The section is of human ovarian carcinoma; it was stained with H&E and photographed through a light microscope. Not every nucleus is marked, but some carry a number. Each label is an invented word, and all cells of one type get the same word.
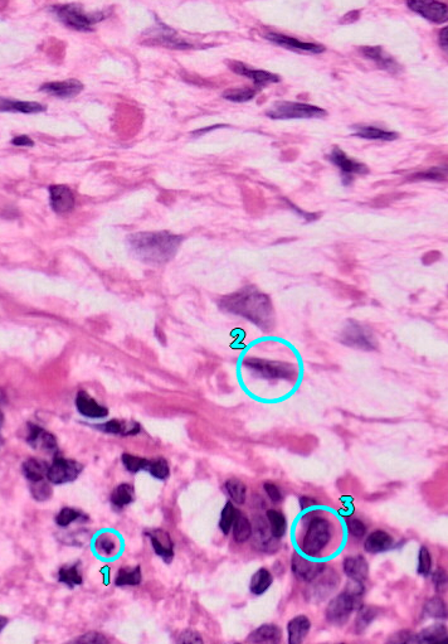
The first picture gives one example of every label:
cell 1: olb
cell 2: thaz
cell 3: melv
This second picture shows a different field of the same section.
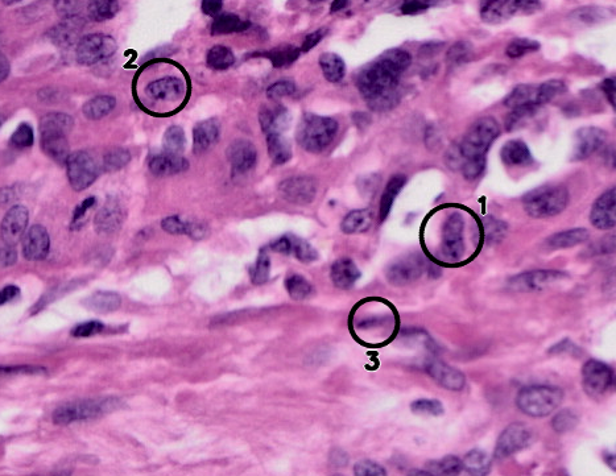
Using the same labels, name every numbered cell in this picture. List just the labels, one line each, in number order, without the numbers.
olb
olb
thaz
